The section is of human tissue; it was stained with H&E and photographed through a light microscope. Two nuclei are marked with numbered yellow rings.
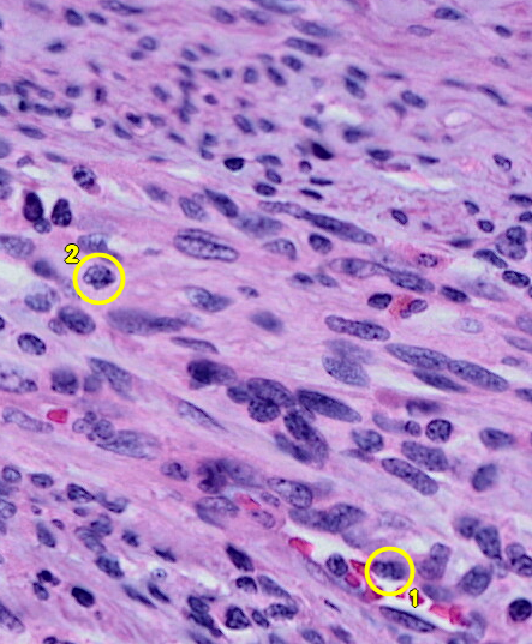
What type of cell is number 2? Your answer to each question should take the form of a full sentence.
Marked with the number 2, this cell is a lymphocyte.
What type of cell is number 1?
The nucleus with number 1 is that of an endothelial cell.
